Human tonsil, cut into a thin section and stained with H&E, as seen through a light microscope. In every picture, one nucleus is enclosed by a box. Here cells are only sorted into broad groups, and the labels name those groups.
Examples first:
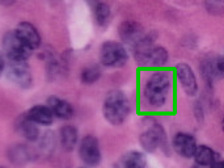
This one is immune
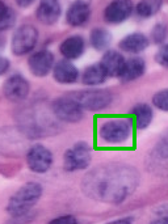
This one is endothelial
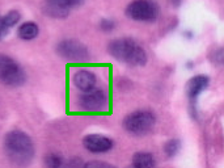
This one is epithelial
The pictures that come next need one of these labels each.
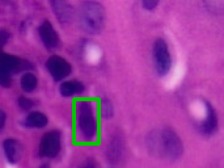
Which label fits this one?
epithelial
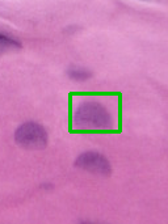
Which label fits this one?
epithelial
